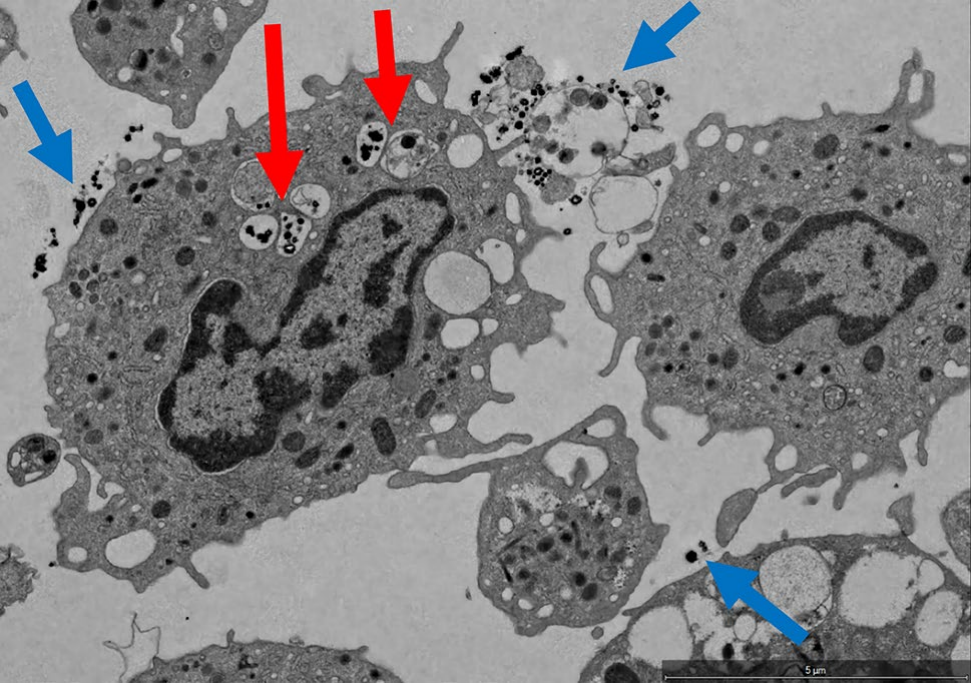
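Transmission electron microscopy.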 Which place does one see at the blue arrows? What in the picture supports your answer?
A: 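Extracellular. The blue arrows point to dense black particles lying outside the cell outlines. These particles sit in the empty space between cells or beside debris, not within cytoplasm.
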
